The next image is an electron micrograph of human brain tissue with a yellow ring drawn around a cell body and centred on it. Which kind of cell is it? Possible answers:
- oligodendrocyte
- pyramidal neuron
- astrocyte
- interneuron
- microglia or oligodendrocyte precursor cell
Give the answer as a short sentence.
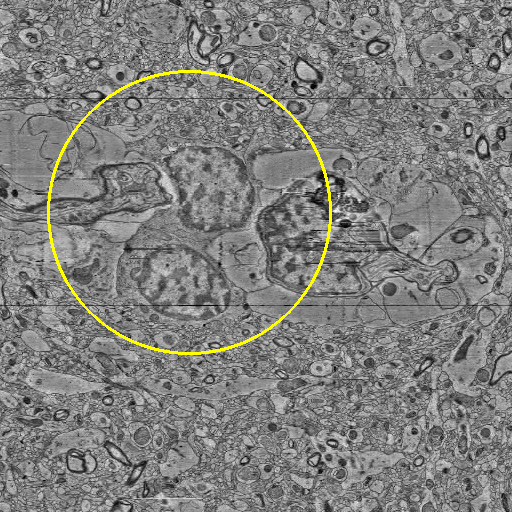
In the ring's centre is an oligodendrocyte.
